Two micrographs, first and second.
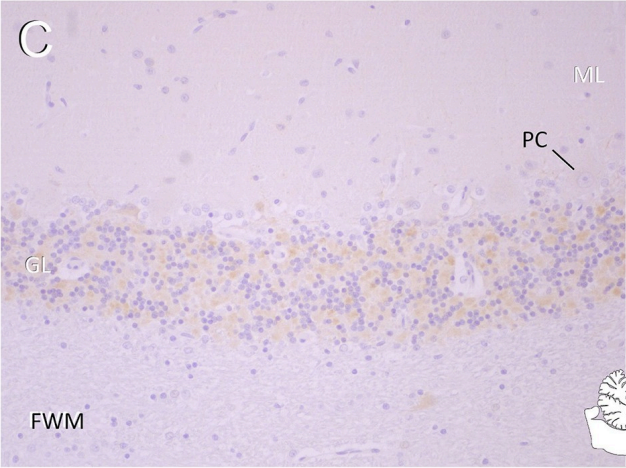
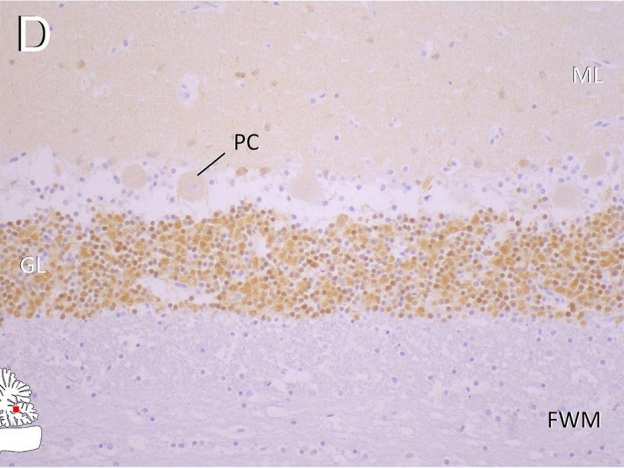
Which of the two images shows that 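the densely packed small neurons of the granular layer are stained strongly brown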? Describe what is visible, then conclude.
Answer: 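The second image. Second image: the band of small packed nuclei is deep brown throughout. First image: the same band is mostly blue-purple with only faint patchy pale brown. Second image: the upper fibrous layer has a light brown tint; First image: it is pale lilac.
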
